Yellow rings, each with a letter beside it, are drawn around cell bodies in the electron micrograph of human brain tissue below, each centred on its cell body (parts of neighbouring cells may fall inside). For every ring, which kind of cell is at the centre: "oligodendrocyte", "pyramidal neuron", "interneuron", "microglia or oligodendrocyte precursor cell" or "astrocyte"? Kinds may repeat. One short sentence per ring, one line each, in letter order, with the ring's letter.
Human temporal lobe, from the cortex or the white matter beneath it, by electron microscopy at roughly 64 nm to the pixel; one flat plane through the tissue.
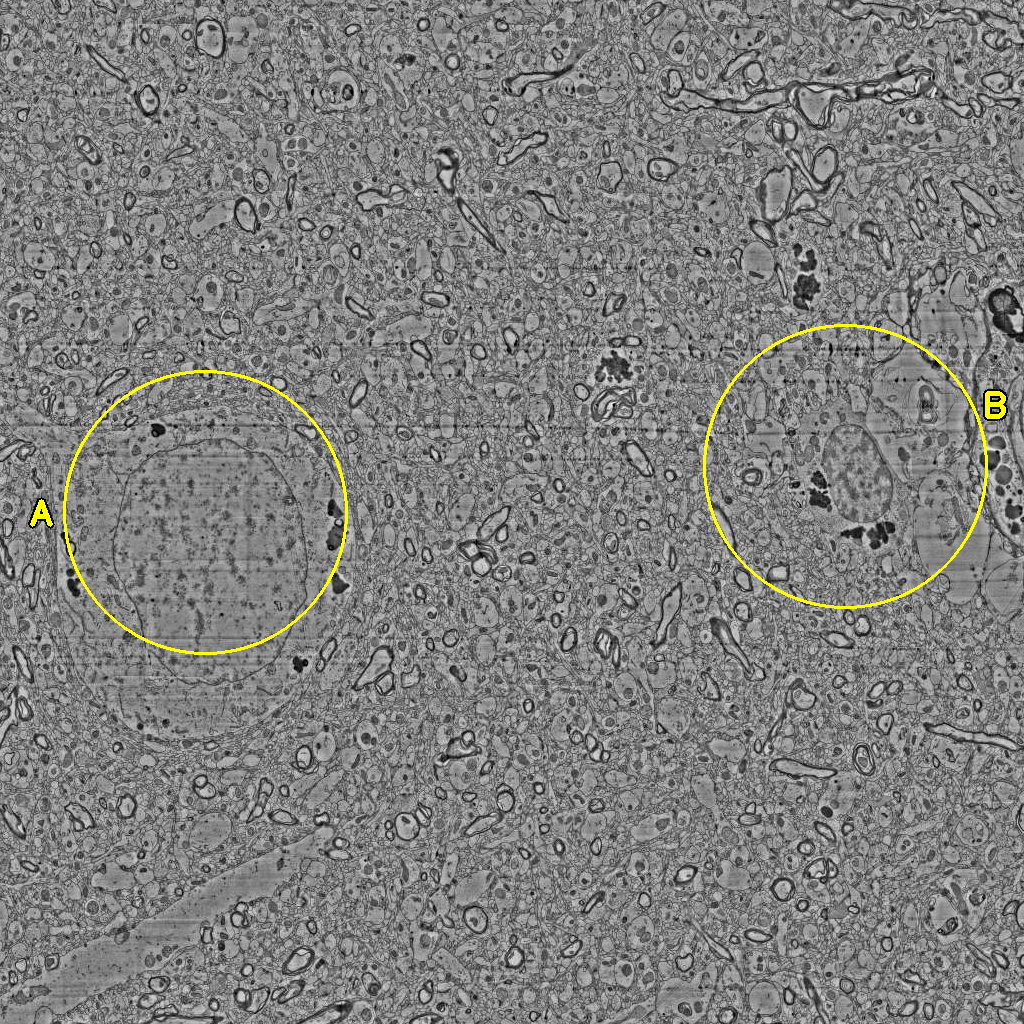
The cell in ring A is a pyramidal neuron.
The cell in ring B is an oligodendrocyte.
